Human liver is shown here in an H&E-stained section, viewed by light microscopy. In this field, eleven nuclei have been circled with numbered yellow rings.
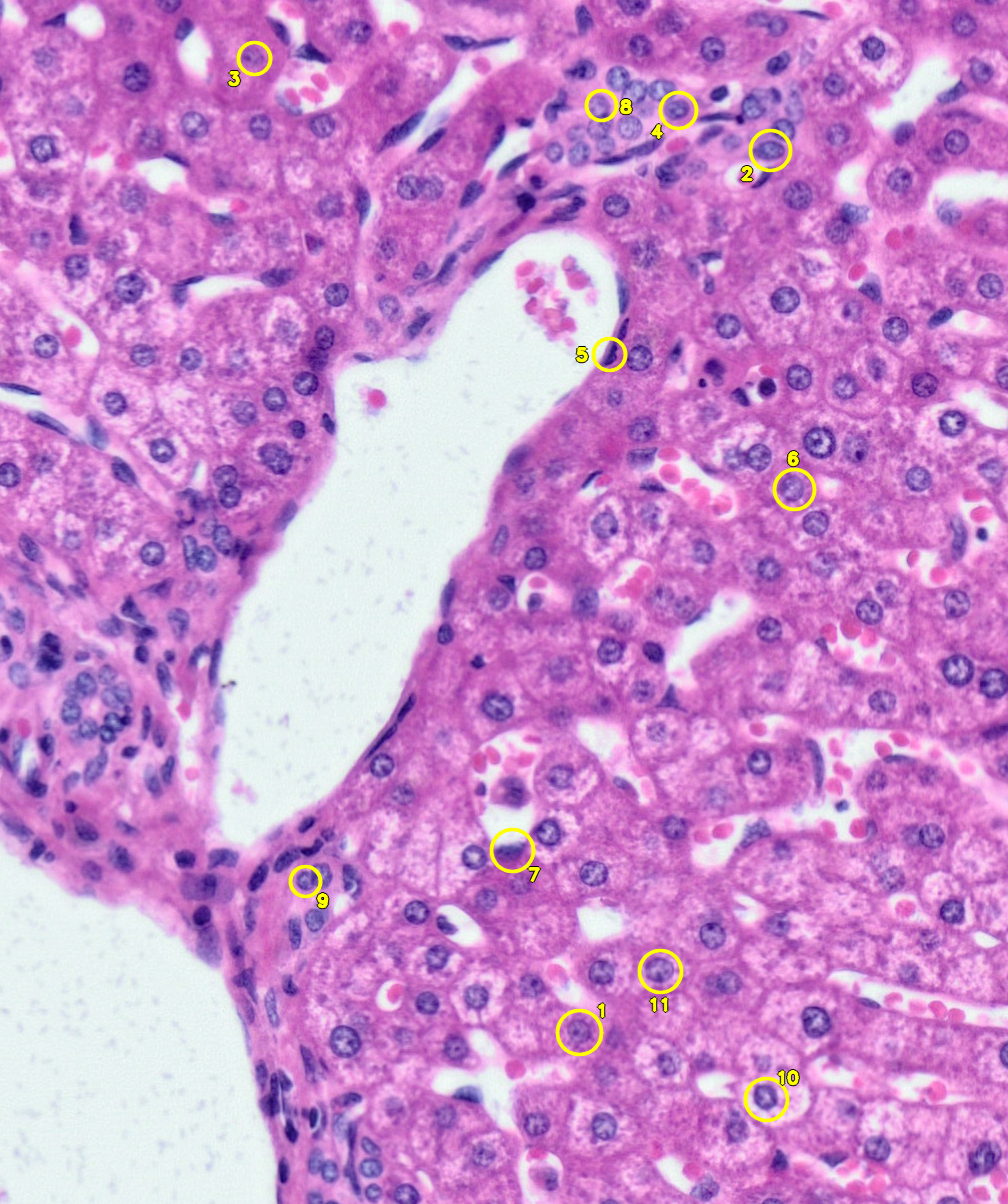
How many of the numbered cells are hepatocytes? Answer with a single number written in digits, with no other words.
5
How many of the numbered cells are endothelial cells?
1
